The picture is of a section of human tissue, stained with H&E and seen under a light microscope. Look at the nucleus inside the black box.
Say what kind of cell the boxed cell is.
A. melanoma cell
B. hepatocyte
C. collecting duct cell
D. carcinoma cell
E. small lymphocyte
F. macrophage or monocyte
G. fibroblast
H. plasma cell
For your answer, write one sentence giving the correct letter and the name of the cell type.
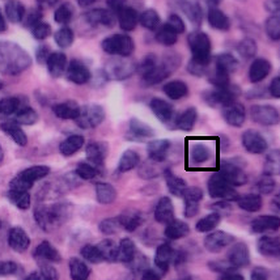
Option E correctly labels the boxed cell as a small lymphocyte.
